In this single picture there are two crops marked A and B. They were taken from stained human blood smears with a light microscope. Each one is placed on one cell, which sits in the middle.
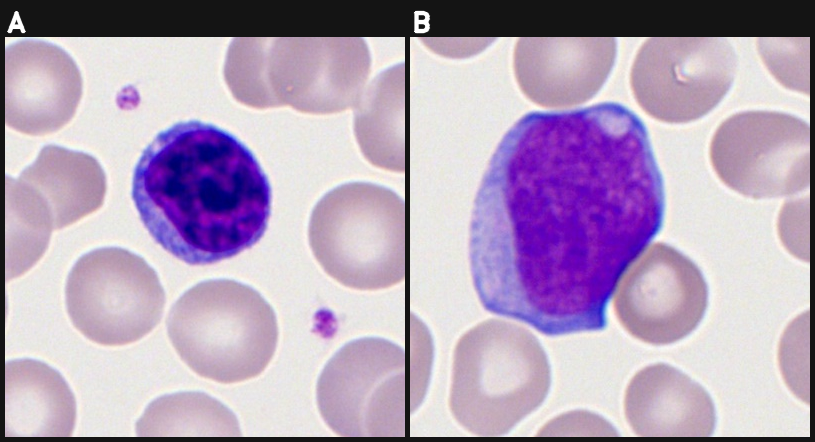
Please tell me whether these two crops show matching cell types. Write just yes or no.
no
